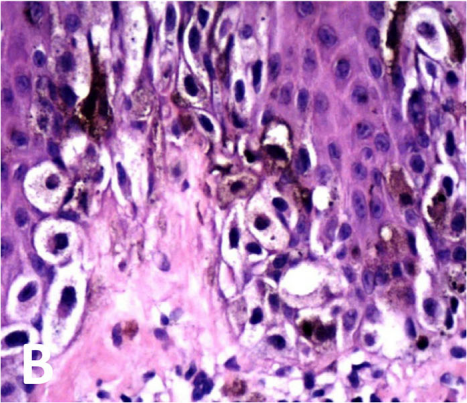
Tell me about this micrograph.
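At high power, these are atypical melanocytes lying among the keratinocytes near the base of the epidermis. The melanocytes are enlarged and rounded, each with a clear halo of pale cytoplasm around the nucleus, so they look like holes punched in the pink epithelium. Their nuclei vary in size and shape, some large and dark purple, others irregular. Brown pigment granules sit within and beside several of them. To the right, ordinary keratinocytes with pink cytoplasm and regular round nuclei form a tidy pavement for comparison, and pink connective tissue lies below.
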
